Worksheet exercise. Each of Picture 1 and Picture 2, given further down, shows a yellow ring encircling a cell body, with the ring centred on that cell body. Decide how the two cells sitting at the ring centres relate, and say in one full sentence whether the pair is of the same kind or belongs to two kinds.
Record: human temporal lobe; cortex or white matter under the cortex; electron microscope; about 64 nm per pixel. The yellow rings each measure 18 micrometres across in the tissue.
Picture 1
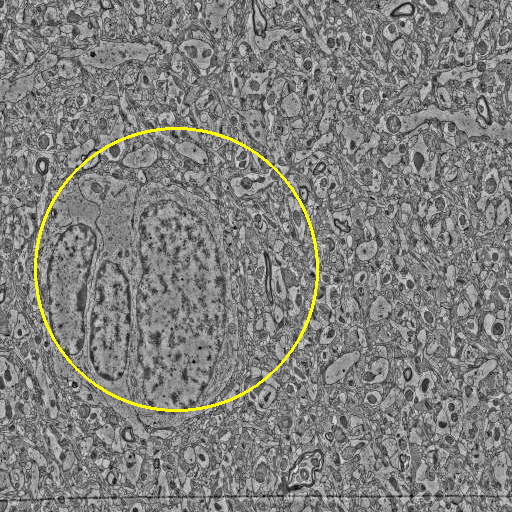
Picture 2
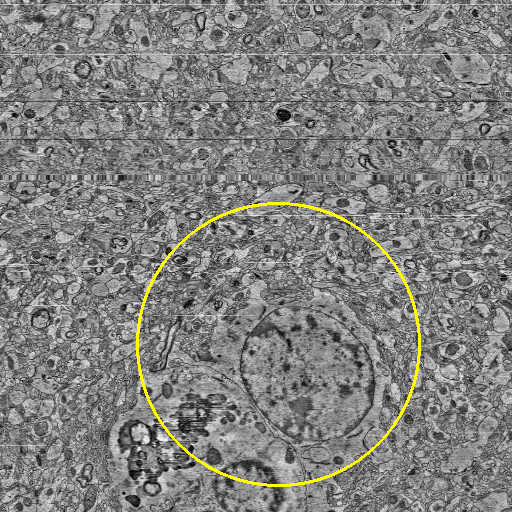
The cells at the ring centres in Picture 1 and Picture 2 belong to two kinds.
